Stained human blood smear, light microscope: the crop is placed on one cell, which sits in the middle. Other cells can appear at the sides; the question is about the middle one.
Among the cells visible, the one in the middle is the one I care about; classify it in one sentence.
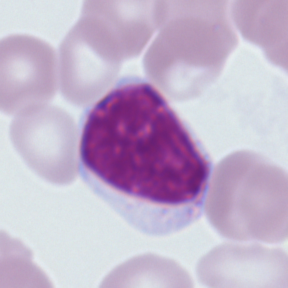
By type, the central cell of the crop is a large granular lymphocyte.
